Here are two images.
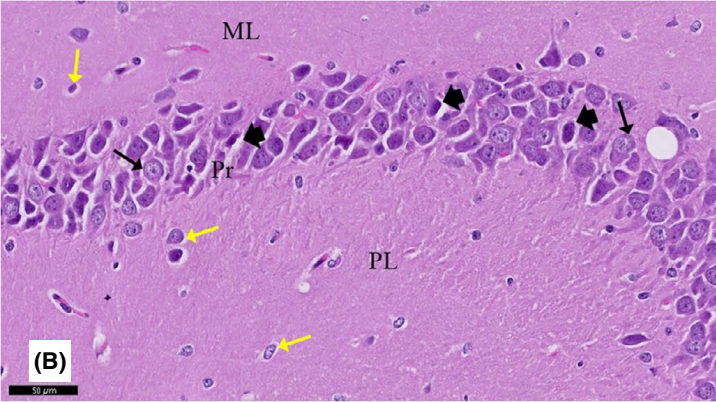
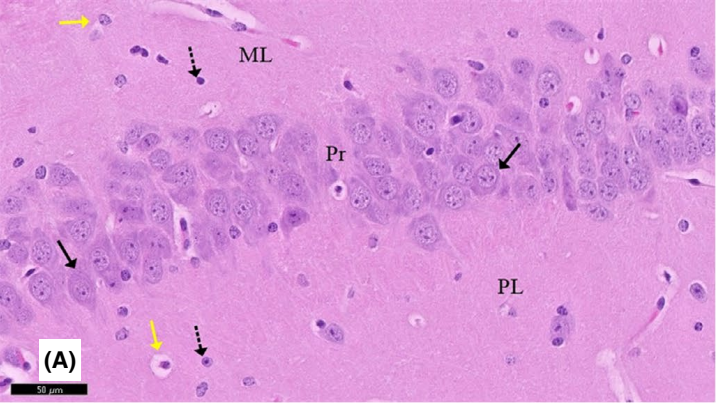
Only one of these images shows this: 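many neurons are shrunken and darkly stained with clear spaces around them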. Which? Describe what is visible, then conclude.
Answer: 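First image: many neurons of the band are angular, dark purple, with small dark nuclei and white gaps around them. Second image: neurons of the band are closely packed with large pale nuclei and distinct nucleoli, without gaps. The answer: the first image.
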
